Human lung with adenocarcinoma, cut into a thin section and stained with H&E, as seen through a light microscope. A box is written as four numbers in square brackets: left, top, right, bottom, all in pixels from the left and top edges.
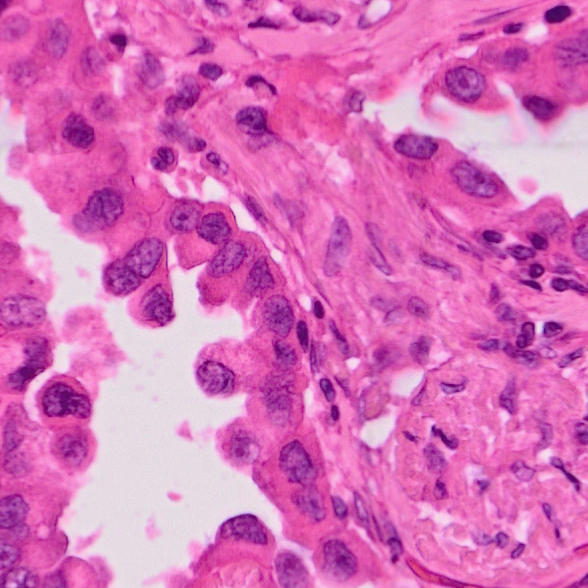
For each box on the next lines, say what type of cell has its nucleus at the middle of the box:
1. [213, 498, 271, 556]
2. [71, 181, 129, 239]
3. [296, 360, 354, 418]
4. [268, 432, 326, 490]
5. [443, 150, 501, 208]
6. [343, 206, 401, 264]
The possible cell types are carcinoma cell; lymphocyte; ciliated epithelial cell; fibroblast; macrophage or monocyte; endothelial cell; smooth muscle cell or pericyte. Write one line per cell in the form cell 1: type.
cell 1: carcinoma cell
cell 2: carcinoma cell
cell 3: lymphocyte
cell 4: carcinoma cell
cell 5: carcinoma cell
cell 6: fibroblast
